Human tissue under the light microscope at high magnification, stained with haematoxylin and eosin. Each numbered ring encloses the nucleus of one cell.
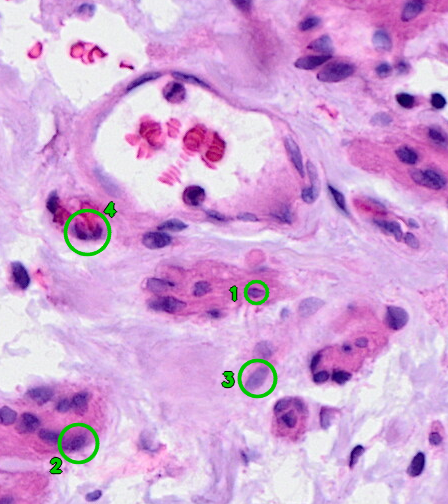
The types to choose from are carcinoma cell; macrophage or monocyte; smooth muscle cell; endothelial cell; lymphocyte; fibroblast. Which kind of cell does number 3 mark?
smooth muscle cell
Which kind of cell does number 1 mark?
smooth muscle cell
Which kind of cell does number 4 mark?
endothelial cell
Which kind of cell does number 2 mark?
smooth muscle cell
